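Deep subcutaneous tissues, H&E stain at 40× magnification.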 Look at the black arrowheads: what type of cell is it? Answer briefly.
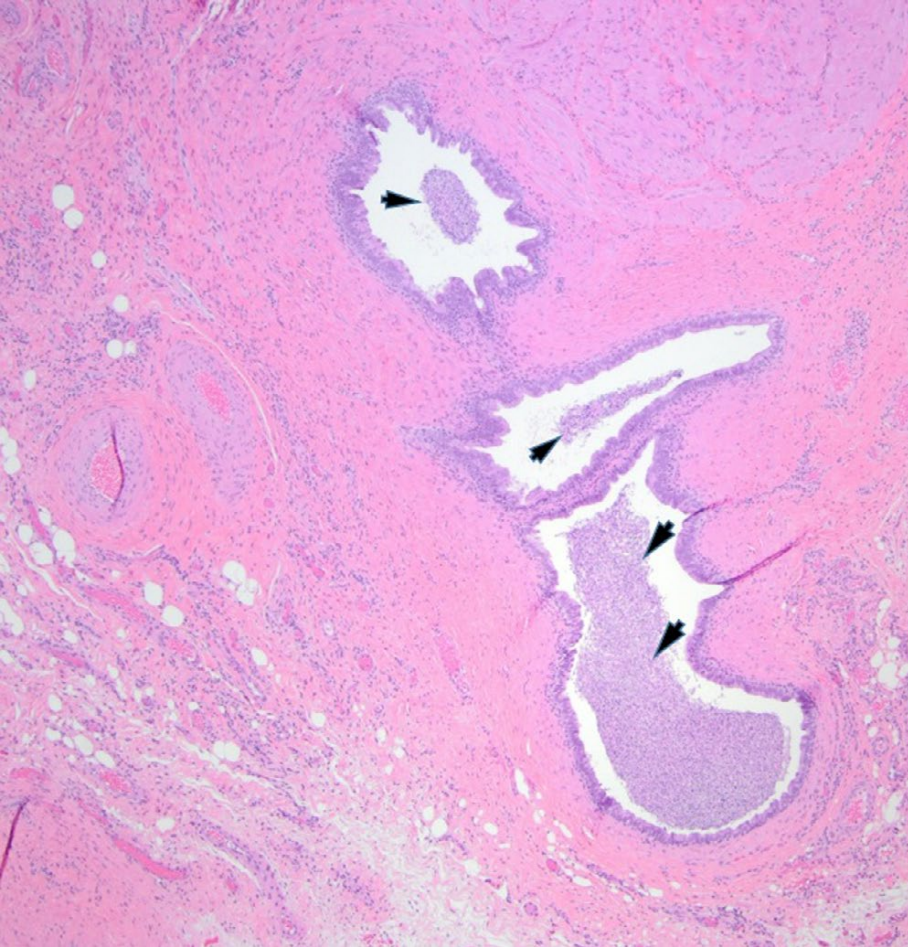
Spermatozoa.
